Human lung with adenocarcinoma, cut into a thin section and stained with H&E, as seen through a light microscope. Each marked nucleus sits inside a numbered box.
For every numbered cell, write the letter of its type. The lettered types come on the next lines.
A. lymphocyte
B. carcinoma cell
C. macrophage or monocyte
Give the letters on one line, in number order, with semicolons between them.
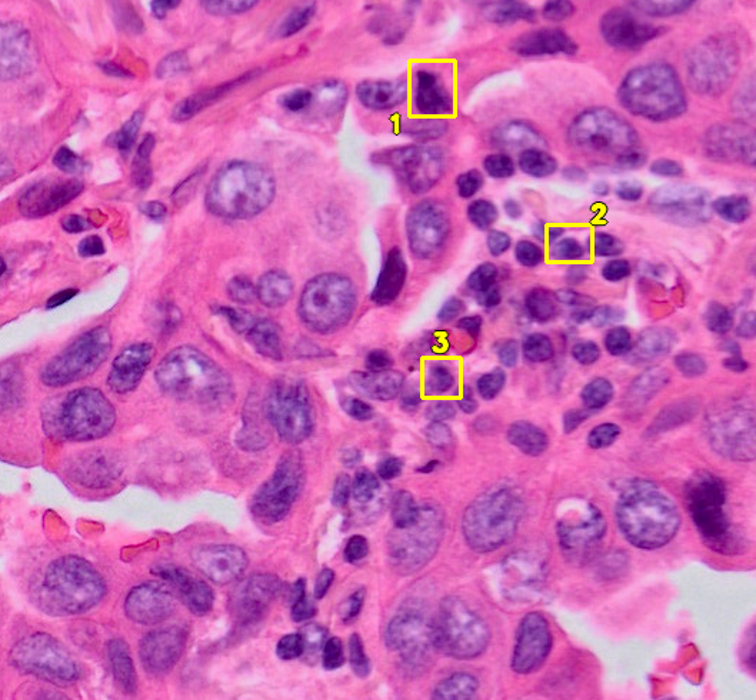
B; A; A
